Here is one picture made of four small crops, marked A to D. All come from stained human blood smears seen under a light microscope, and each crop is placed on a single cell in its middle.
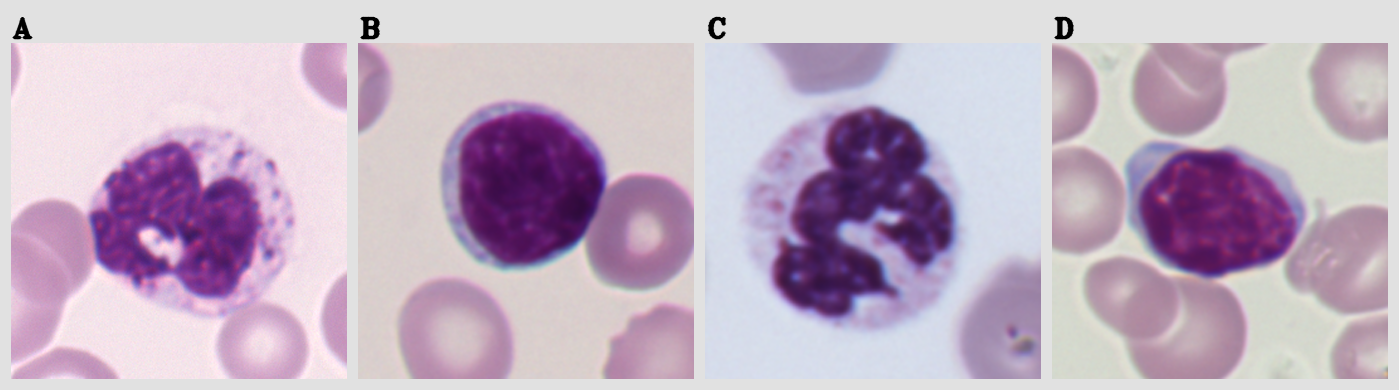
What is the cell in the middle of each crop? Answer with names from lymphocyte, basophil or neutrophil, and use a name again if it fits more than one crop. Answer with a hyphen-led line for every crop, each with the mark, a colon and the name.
- A: basophil
- B: lymphocyte
- C: neutrophil
- D: lymphocyte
